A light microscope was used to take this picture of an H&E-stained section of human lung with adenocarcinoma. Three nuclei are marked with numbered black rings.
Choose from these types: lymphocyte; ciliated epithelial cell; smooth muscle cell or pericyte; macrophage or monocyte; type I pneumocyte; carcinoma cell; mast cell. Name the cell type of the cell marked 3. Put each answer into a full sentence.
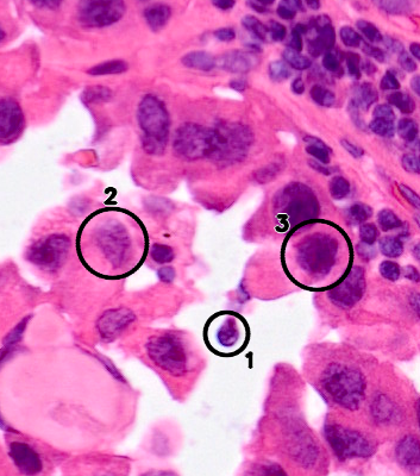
The cell marked with the number 3 is a carcinoma cell.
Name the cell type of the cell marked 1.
Numbered cell 1 is a lymphocyte in this tissue section.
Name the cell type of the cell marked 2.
In the marked set, the cell given number 2 is a carcinoma cell.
